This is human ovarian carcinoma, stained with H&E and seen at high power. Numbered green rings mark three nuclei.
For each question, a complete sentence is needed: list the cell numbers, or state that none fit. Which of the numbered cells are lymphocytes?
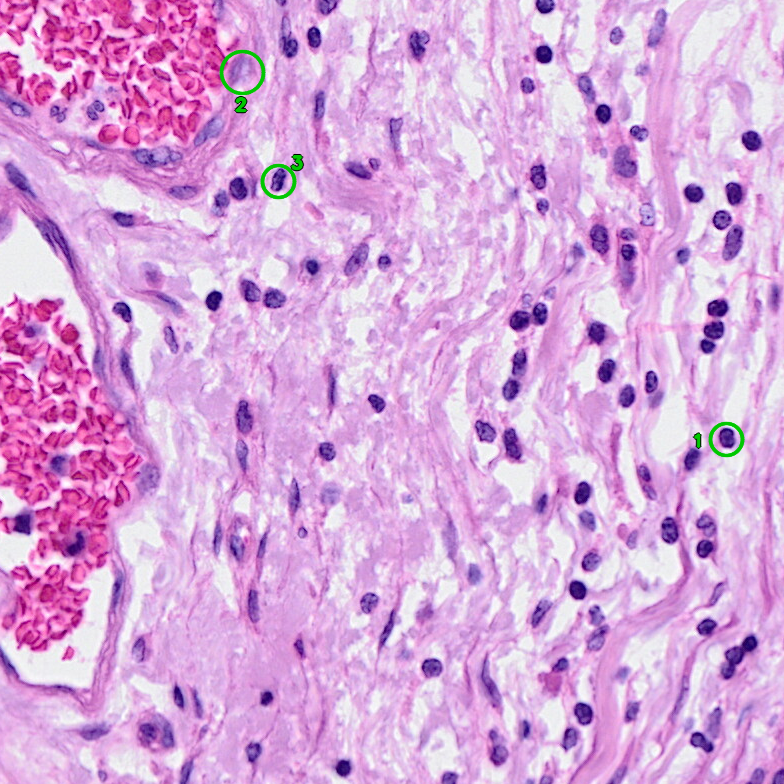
The cells with labels 1 and 3 are lymphocytes.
